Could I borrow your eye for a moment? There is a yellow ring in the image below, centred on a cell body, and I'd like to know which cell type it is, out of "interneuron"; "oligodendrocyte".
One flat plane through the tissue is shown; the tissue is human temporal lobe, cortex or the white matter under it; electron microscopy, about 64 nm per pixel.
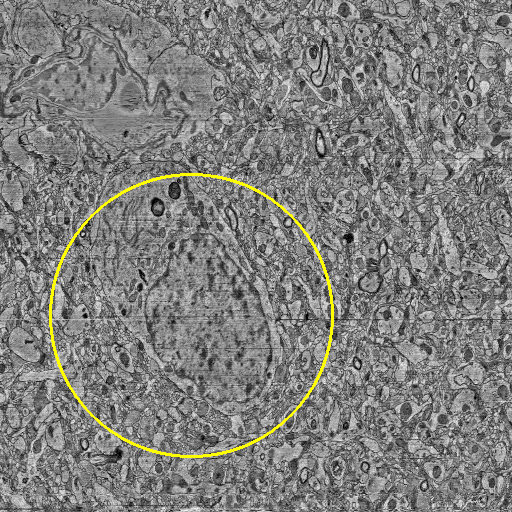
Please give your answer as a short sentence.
The cell body at the centre is that of an interneuron.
